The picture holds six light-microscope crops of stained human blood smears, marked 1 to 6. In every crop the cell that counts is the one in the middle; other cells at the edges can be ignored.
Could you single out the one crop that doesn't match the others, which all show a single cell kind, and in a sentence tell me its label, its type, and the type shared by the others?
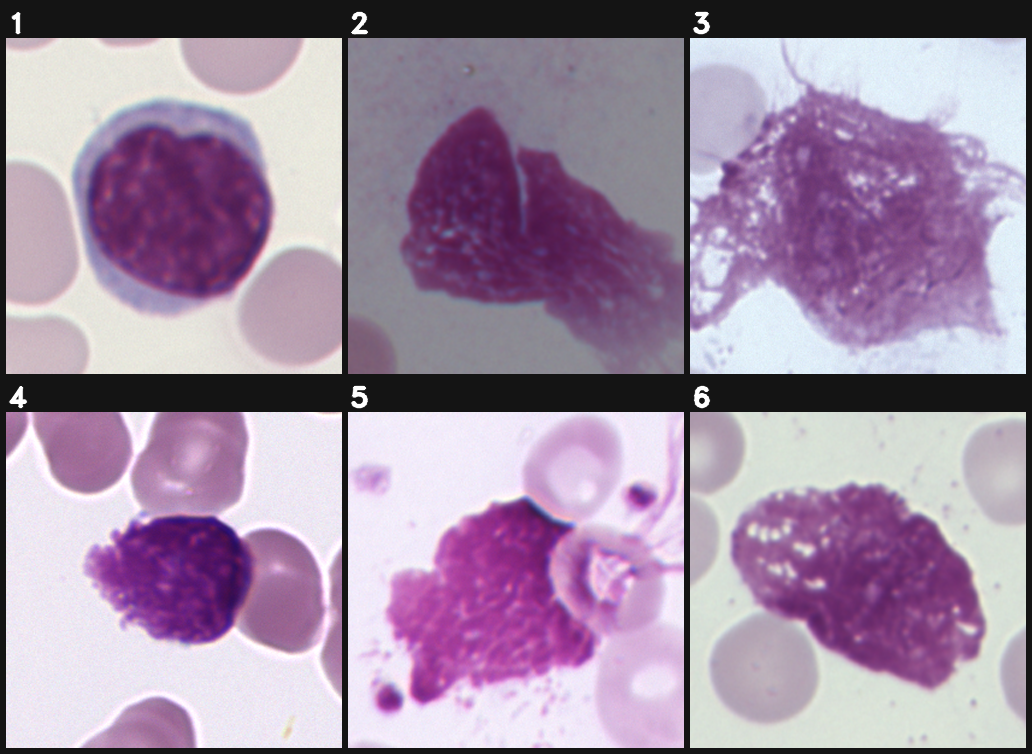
The cells centred in the other crops are all smudge cells, but crop 1 is a typical lymphocyte.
